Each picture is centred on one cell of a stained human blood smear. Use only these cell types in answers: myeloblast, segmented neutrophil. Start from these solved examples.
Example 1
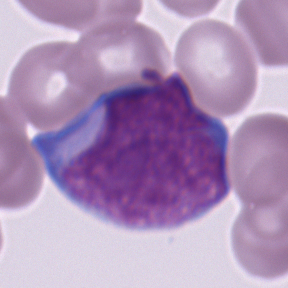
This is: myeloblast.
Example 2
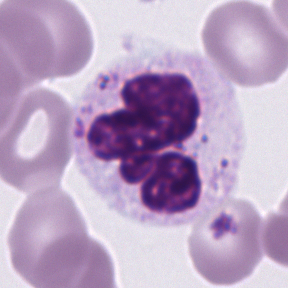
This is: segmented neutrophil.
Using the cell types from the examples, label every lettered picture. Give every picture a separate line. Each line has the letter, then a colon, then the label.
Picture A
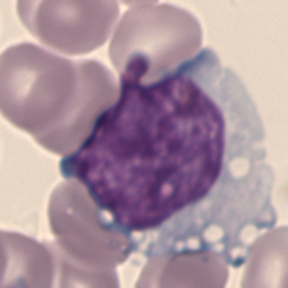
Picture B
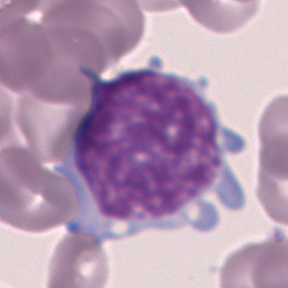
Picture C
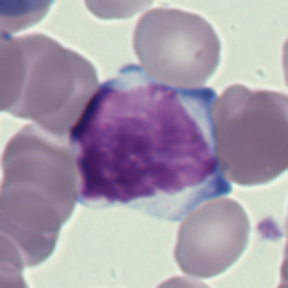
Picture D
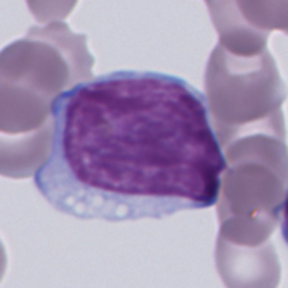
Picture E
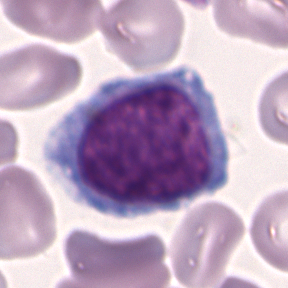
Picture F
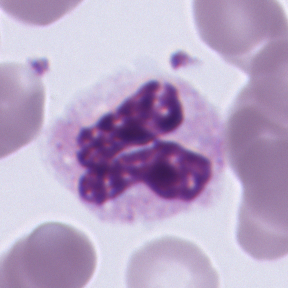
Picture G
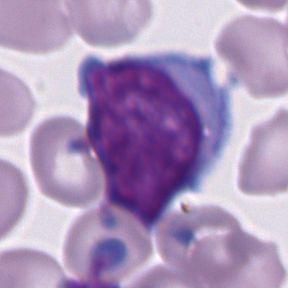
A: myeloblast.
B: myeloblast.
C: myeloblast.
D: myeloblast.
E: myeloblast.
F: segmented neutrophil.
G: myeloblast.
